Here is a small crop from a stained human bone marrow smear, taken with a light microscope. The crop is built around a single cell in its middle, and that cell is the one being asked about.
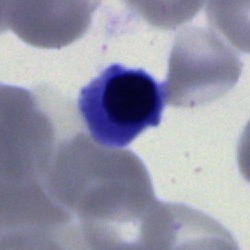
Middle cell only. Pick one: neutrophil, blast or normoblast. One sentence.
Among the cells in view, the one in the middle is a normoblast.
